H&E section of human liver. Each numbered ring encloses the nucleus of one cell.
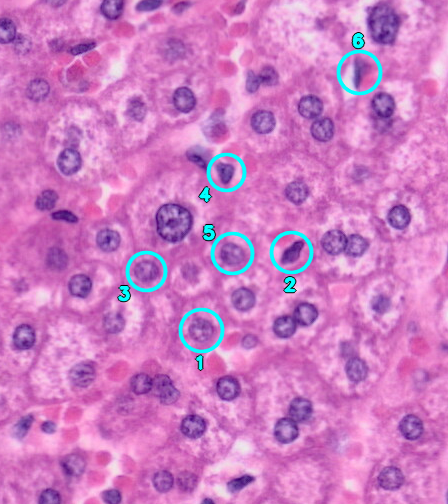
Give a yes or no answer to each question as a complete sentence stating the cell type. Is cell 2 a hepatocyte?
No, the cell under number 2 is an endothelial cell instead of a hepatocyte.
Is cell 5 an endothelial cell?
No, cell 5 is a hepatocyte; it is not an endothelial cell.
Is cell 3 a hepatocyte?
Yes, as for number 3, the cell is a hepatocyte.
